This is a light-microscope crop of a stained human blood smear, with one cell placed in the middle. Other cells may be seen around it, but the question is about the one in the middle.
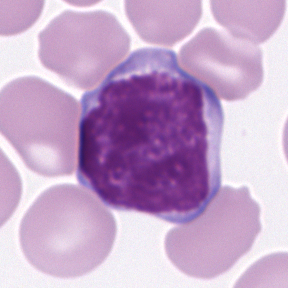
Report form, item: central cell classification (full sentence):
The middle position in this crop is taken by a typical lymphocyte.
